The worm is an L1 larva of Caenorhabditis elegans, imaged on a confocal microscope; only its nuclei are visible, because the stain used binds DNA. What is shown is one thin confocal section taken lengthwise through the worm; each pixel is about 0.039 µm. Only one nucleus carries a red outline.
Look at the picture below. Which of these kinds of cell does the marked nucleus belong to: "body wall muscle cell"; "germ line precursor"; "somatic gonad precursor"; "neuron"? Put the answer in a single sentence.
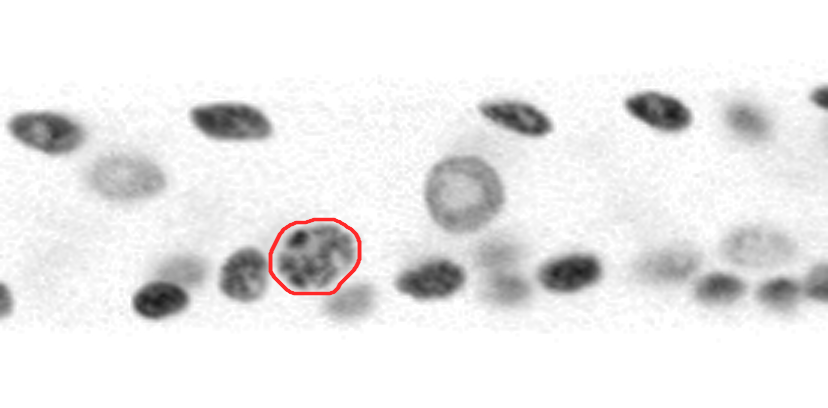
The marked cell is a germ line precursor.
